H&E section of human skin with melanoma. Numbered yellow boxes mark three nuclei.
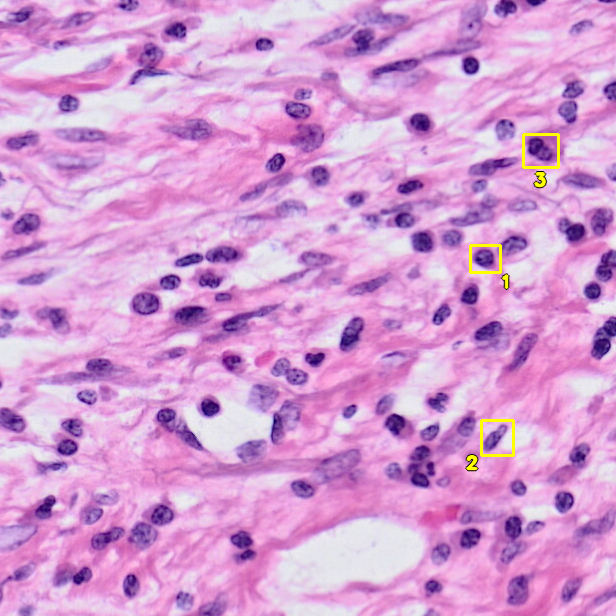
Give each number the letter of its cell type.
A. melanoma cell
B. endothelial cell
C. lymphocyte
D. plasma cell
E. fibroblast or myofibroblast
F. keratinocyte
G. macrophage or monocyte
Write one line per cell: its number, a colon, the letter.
1: D
2: C
3: D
